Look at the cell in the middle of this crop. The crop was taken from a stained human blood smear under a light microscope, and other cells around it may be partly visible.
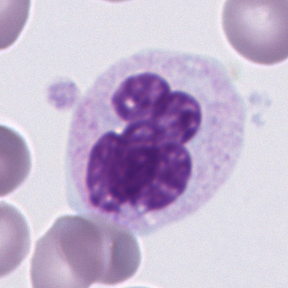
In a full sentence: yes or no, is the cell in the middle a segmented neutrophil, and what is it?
Yes, the cell in the middle is a segmented neutrophil.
